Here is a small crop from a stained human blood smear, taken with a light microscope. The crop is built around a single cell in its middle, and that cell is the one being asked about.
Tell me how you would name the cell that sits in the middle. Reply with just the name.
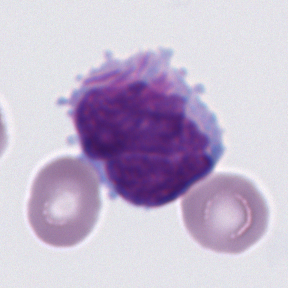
atypical promyelocyte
